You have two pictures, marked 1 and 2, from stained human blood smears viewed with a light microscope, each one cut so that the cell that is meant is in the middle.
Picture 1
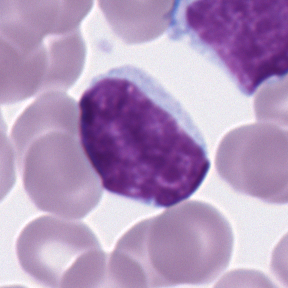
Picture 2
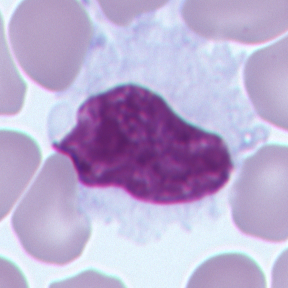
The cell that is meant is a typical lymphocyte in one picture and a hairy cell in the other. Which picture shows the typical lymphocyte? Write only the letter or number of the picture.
1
